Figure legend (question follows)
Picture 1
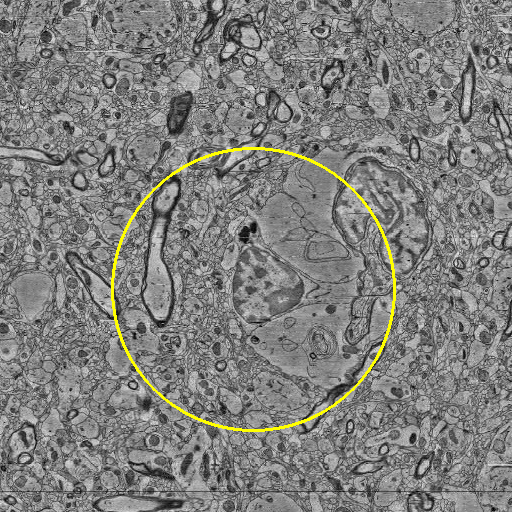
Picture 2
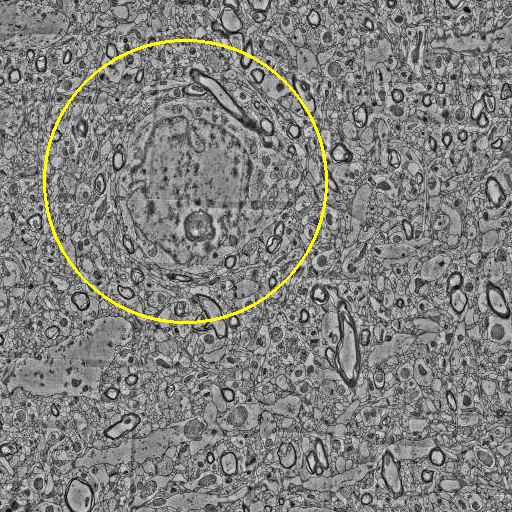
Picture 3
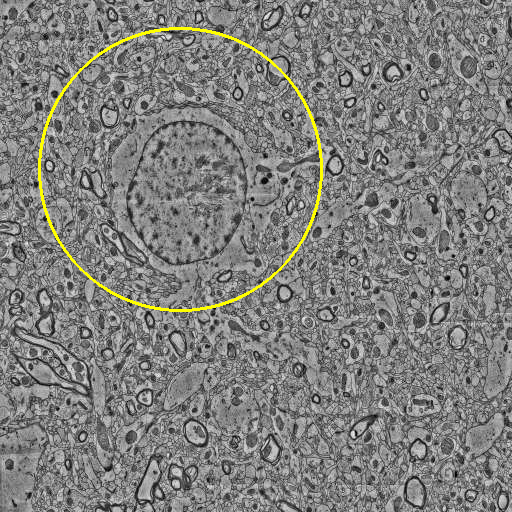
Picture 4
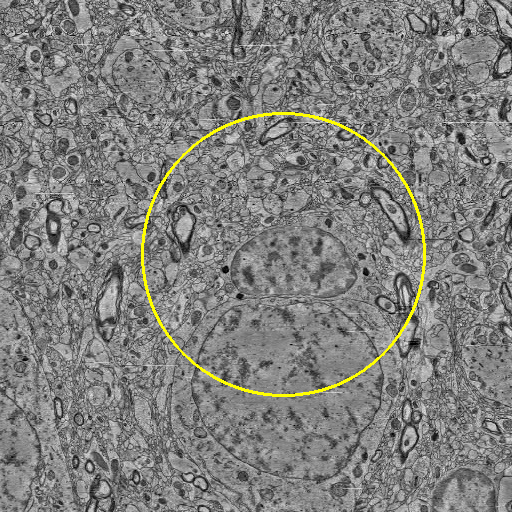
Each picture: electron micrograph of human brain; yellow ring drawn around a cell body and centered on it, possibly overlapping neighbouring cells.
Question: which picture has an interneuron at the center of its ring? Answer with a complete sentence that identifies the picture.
Picture 2 has it at the center of its ring.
